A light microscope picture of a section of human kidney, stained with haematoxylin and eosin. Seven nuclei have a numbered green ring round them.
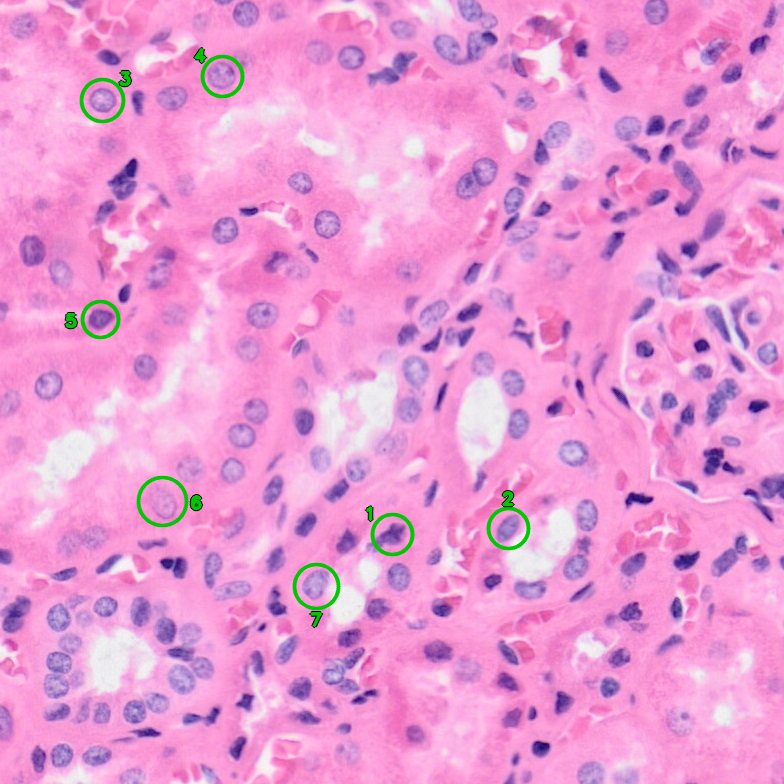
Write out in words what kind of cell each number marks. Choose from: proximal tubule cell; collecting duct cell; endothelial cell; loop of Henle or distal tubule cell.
Cells 1, 2 and 7 are loop of Henle or distal tubule cells. Cells 3, 4, 5 and 6 are proximal tubule cells.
